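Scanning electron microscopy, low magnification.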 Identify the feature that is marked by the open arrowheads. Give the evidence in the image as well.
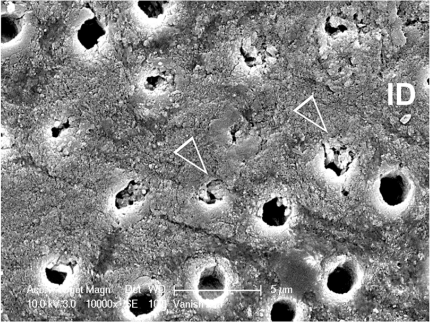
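The arrowheads point at tubule openings filled with rough material. Other openings nearby remain dark and open. The answer: occluded dentinal tubules.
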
